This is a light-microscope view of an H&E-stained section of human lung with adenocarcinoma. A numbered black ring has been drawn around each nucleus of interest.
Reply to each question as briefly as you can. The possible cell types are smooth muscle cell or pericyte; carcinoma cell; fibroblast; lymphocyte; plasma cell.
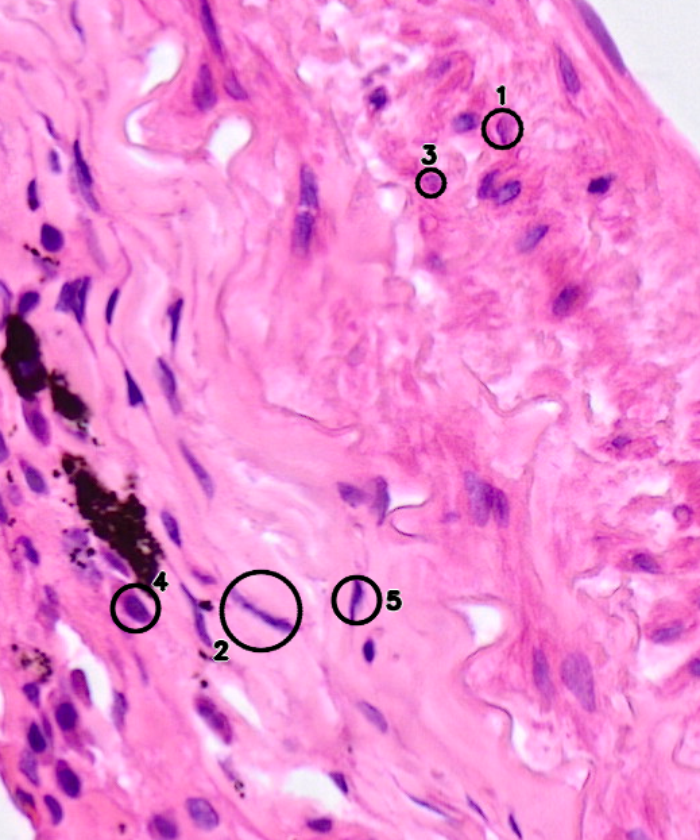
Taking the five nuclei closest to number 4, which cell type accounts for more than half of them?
fibroblast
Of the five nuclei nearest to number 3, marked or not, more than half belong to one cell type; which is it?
smooth muscle cell or pericyte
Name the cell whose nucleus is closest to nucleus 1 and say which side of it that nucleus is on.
a smooth muscle cell or pericyte, to the left of nucleus 1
